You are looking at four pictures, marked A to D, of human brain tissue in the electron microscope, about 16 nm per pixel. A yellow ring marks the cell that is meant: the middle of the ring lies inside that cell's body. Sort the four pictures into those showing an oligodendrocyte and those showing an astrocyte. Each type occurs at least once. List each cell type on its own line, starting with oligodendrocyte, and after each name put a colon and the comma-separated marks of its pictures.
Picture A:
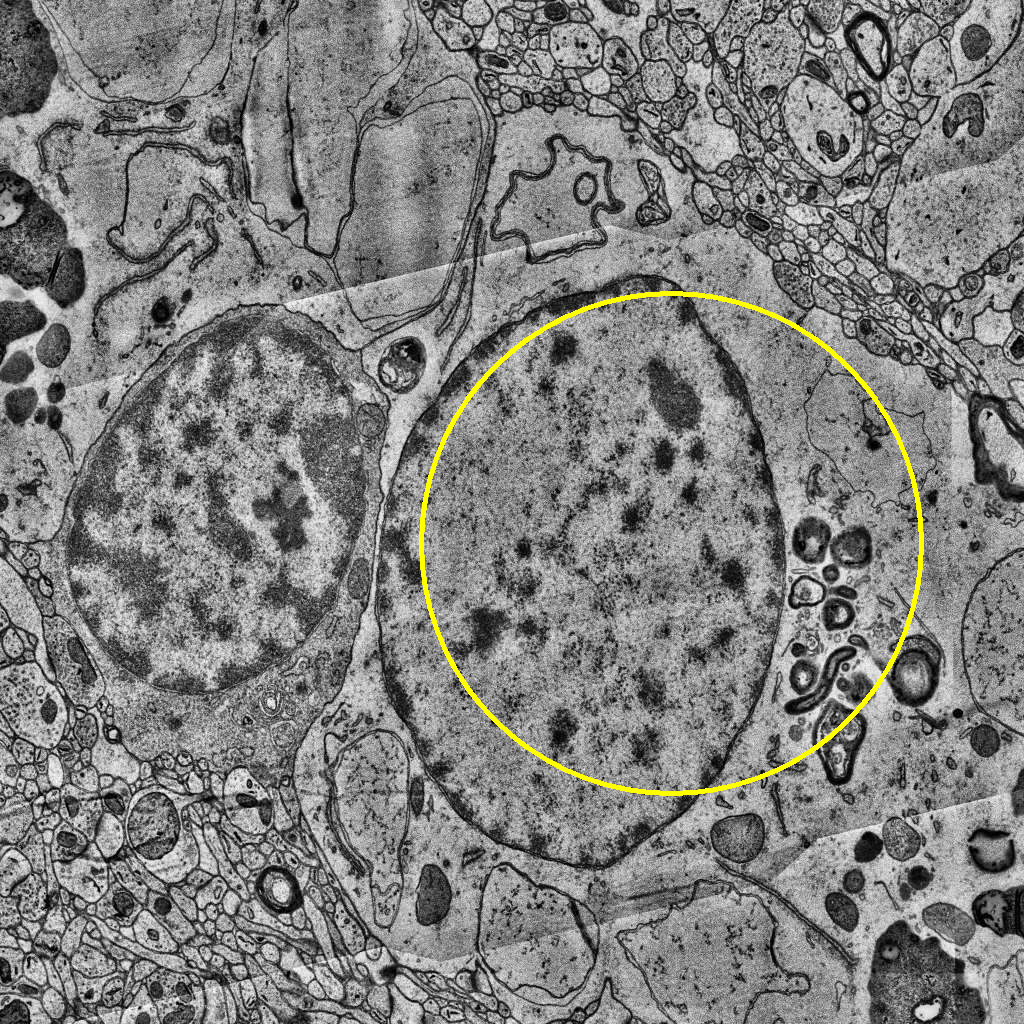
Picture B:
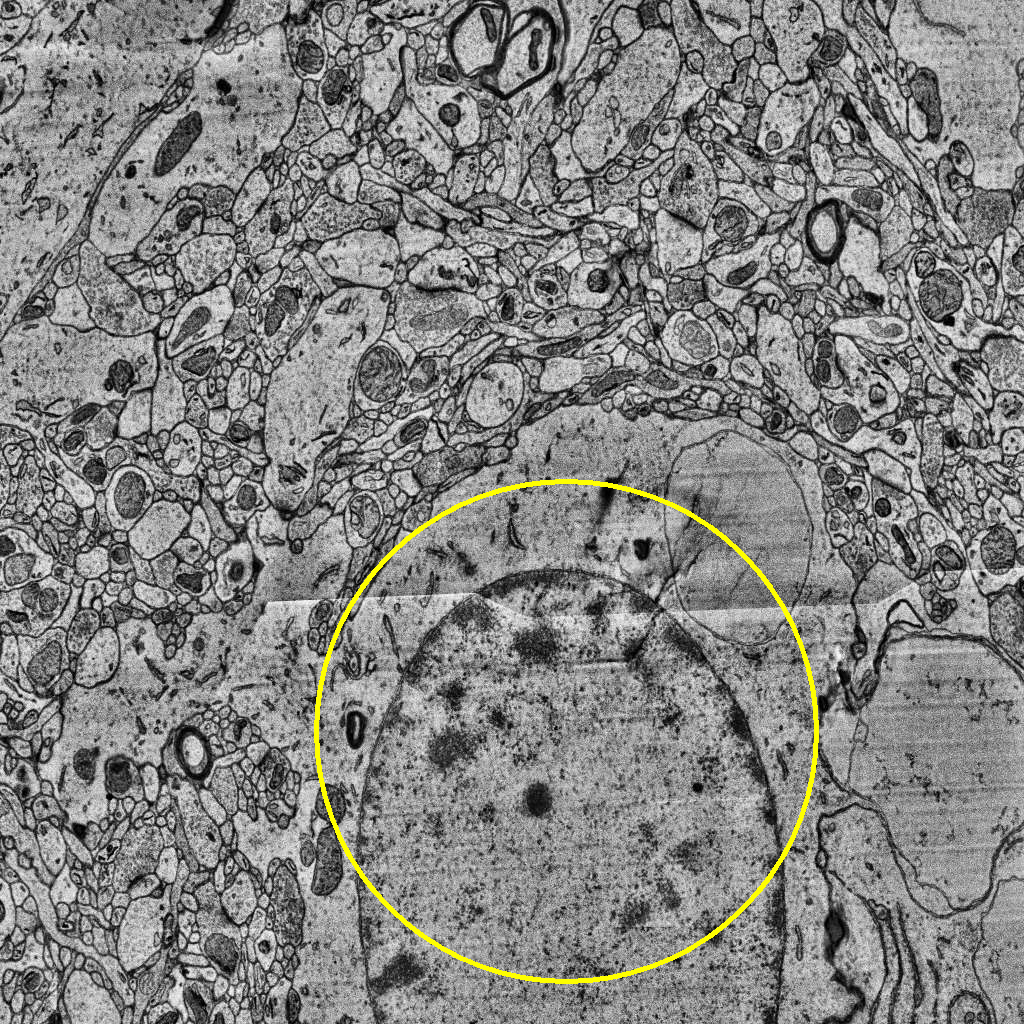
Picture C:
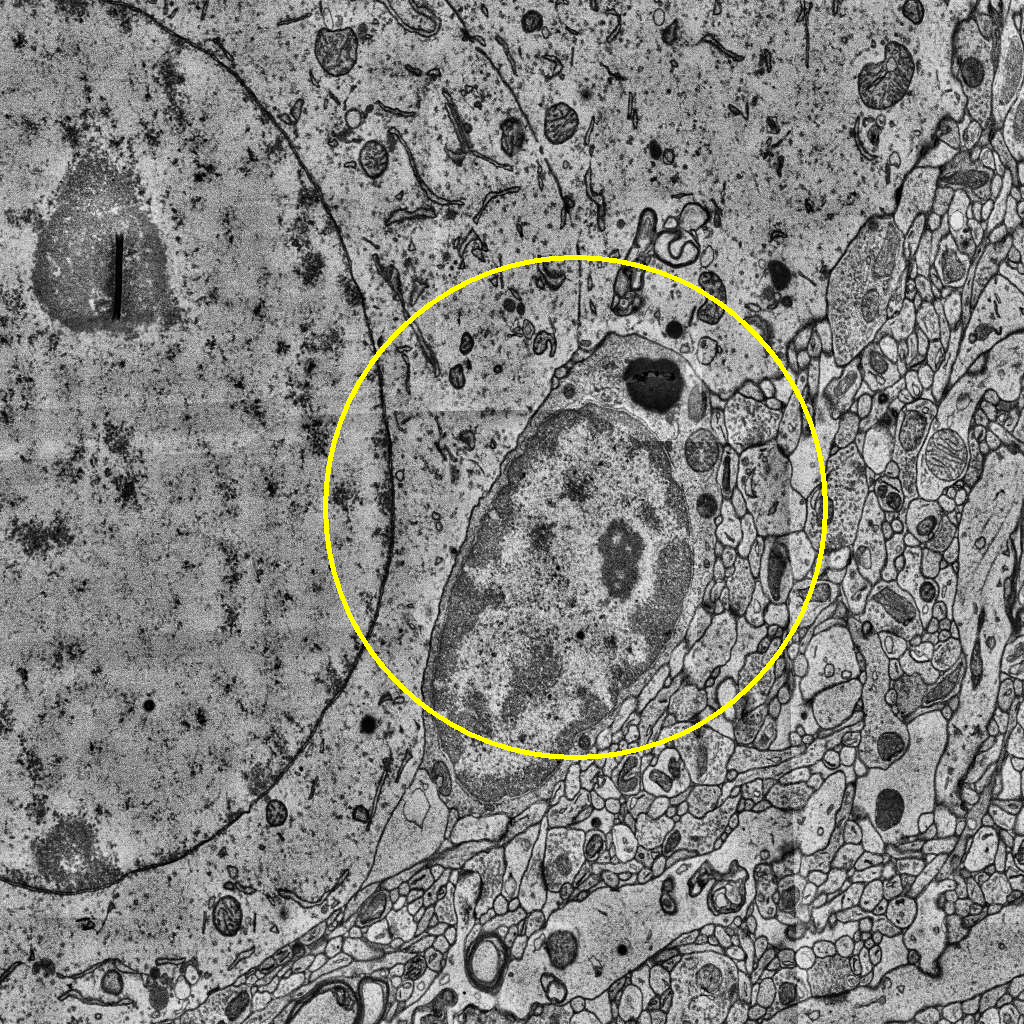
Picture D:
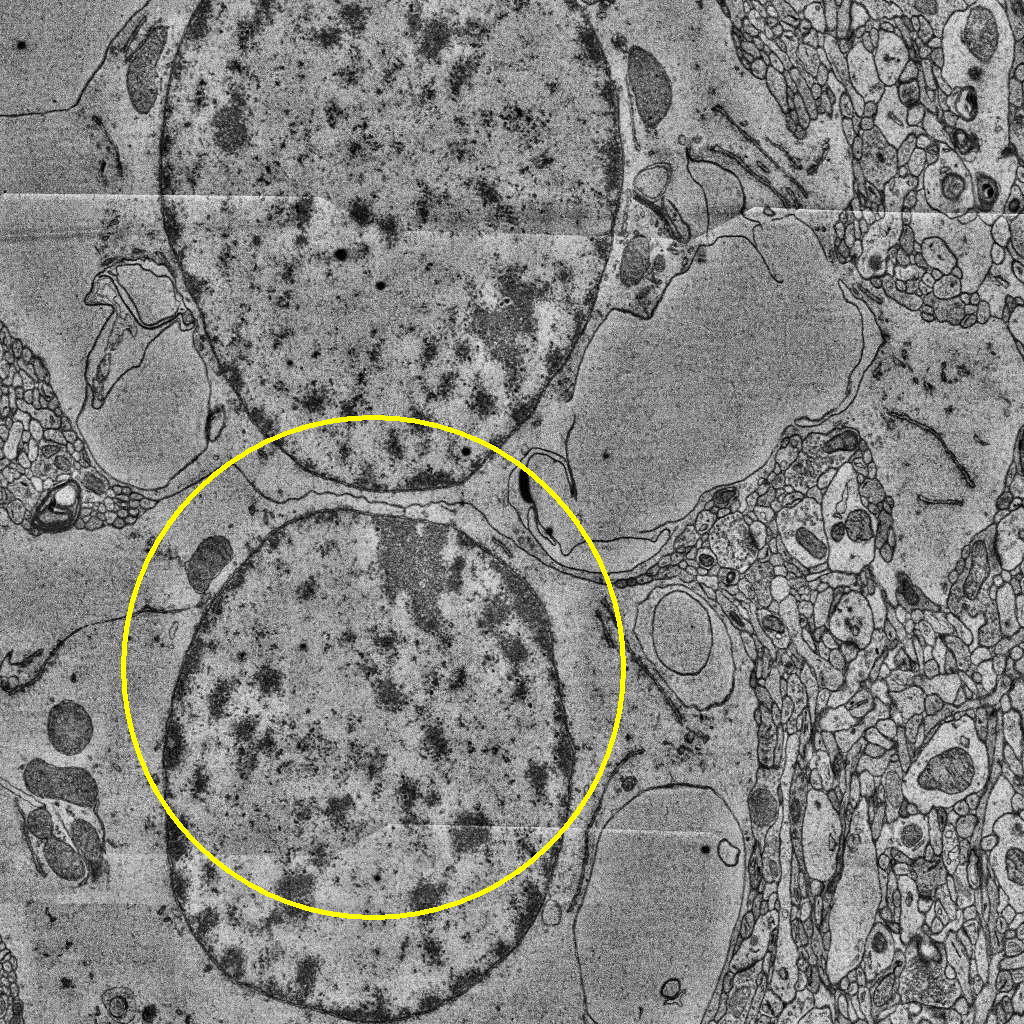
oligodendrocyte: C
astrocyte: A, B, D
